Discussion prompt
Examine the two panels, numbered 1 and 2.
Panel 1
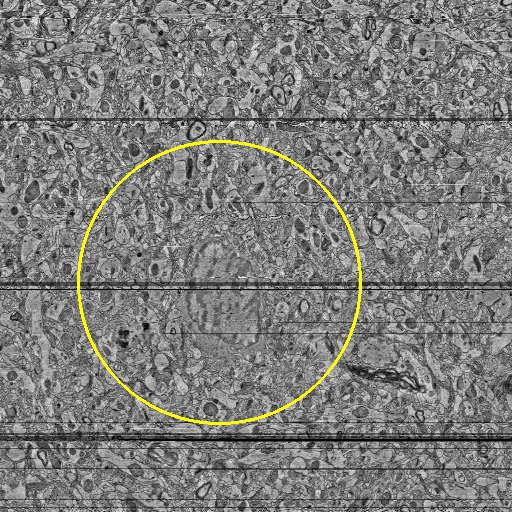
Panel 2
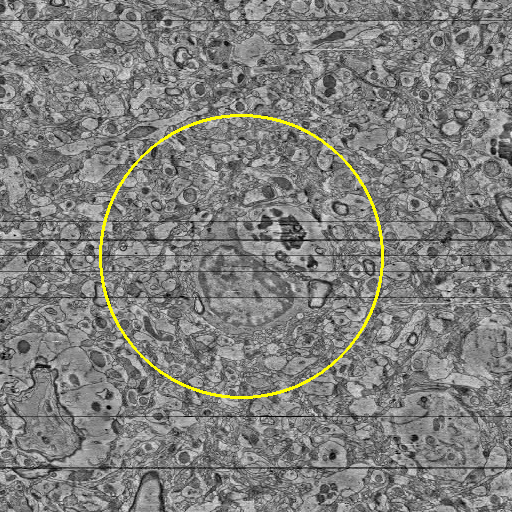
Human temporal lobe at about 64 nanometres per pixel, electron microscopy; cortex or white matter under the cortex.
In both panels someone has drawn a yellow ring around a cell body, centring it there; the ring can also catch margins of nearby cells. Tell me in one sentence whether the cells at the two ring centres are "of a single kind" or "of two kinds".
Taken together, the two cells centred in the rings of Panels 1 and 2 are of a single kind.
